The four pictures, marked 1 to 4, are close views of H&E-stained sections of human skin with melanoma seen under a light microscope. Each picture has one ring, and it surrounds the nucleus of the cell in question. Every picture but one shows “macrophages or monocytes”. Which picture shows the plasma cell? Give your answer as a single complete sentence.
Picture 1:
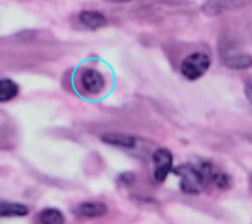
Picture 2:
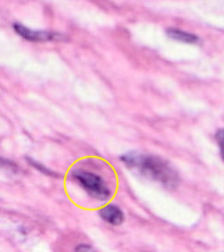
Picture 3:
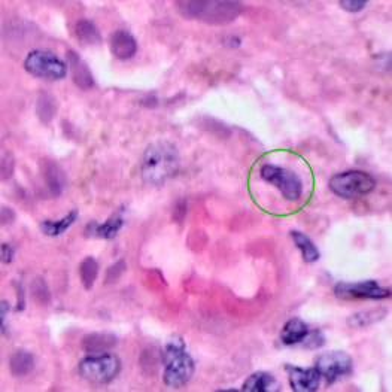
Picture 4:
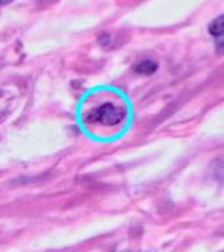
It is picture 1 that shows the plasma cell.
